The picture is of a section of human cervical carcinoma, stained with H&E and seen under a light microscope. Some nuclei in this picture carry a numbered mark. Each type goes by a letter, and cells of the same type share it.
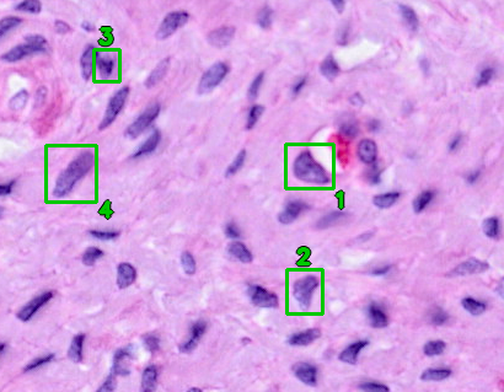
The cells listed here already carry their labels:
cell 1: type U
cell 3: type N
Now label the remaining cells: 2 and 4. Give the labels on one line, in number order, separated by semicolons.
type N; type N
